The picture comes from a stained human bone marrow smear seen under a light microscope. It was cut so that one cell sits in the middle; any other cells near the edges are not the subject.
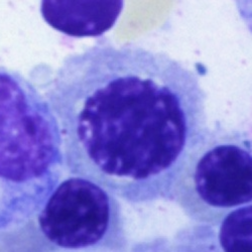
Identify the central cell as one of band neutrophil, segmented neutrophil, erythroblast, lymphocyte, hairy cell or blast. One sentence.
In the centre of this crop there is an erythroblast.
